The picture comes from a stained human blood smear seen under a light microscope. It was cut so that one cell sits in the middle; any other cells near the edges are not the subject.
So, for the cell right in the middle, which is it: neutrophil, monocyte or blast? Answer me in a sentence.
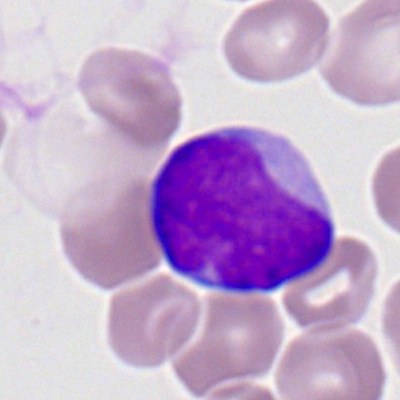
Here the centrally located cell is a blast.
